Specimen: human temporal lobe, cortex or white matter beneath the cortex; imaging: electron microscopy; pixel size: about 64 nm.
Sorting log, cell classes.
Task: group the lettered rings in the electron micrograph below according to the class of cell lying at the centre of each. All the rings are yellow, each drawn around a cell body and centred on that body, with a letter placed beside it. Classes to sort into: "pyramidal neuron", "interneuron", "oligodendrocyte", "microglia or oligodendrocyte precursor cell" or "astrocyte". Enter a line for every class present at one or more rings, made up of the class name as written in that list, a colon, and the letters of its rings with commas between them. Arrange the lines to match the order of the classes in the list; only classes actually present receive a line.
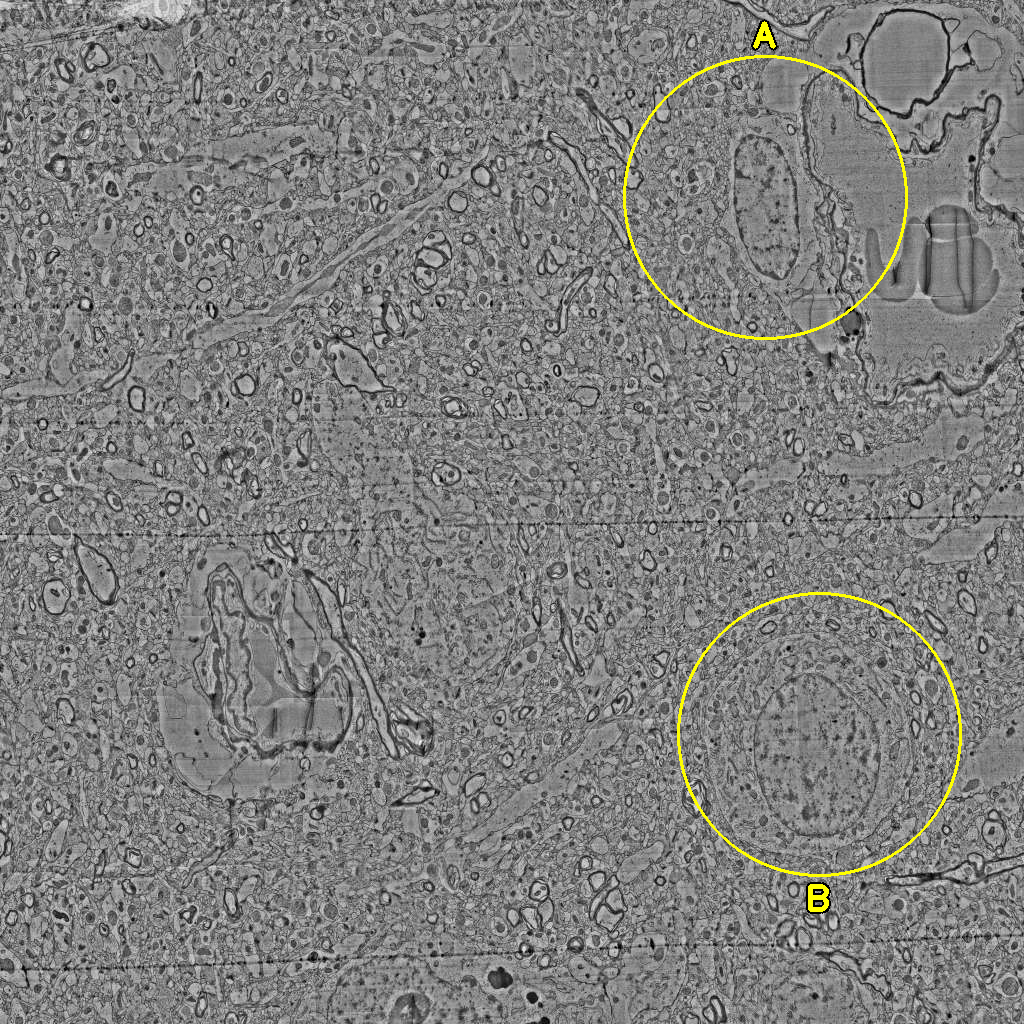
interneuron: B
microglia or oligodendrocyte precursor cell: A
